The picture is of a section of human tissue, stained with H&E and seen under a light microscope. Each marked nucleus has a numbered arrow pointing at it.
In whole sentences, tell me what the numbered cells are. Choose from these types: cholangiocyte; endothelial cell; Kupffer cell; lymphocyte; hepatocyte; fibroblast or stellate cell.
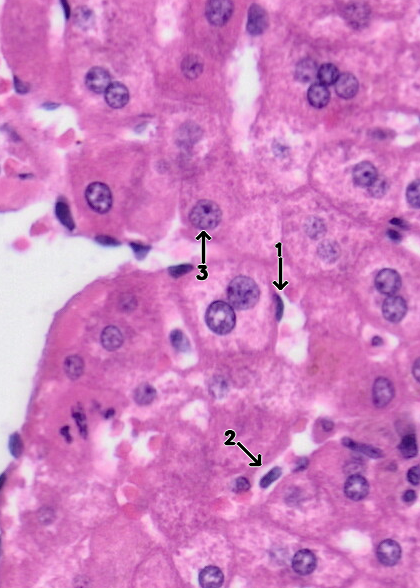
Cell 1 is an endothelial cell, cell 2 is a lymphocyte and cell 3 is a hepatocyte.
